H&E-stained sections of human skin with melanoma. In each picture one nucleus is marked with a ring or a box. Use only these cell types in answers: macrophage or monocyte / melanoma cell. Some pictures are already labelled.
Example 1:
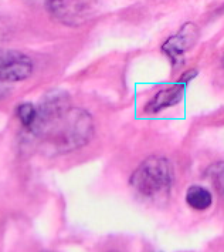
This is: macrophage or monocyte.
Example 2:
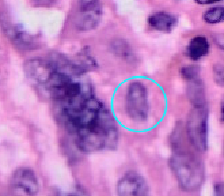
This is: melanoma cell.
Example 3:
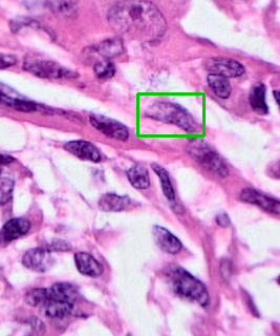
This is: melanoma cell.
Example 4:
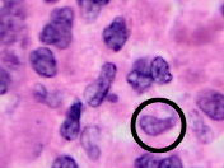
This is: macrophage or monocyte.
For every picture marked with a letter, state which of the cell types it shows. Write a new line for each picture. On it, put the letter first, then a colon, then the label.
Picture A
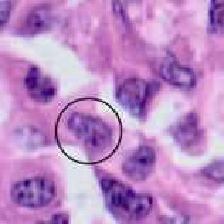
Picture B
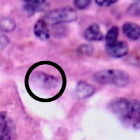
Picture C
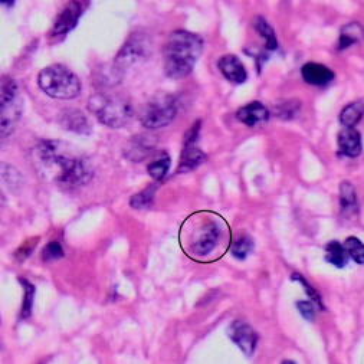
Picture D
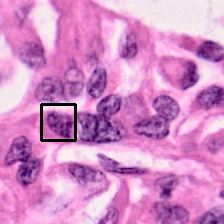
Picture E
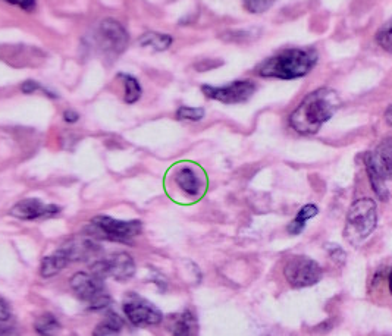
A: melanoma cell.
B: macrophage or monocyte.
C: macrophage or monocyte.
D: melanoma cell.
E: macrophage or monocyte.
